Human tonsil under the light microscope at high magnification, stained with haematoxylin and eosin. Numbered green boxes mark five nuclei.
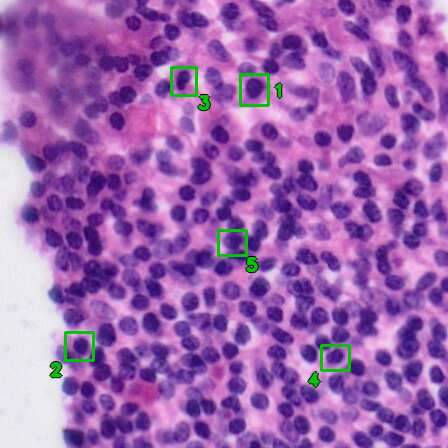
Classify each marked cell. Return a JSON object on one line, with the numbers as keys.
{"1": "plasma cell", "2": "small lymphocyte", "3": "plasma cell", "4": "small lymphocyte", "5": "small lymphocyte"}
